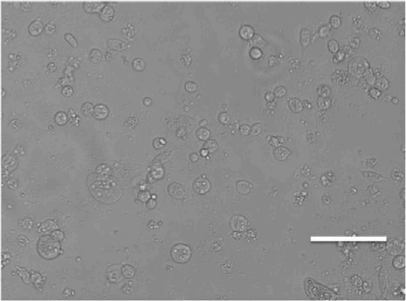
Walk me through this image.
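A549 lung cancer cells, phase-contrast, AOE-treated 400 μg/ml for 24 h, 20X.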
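Almost none are flattened or spread. Most are rounded and refractile with bright halos, varying in size, and several hold granular or bubbly contents. Some form small loose clumps. Small round fragments and fine debris lie among them. The cell density is far below that of a confluent monolayer.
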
